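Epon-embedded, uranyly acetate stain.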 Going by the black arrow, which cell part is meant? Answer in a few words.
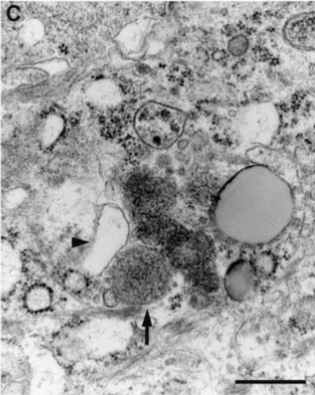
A: Granular lipopigment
